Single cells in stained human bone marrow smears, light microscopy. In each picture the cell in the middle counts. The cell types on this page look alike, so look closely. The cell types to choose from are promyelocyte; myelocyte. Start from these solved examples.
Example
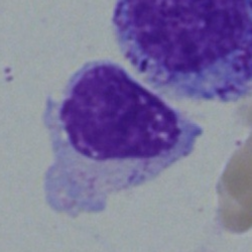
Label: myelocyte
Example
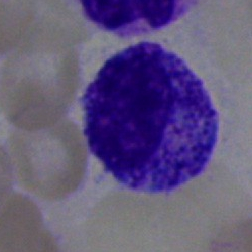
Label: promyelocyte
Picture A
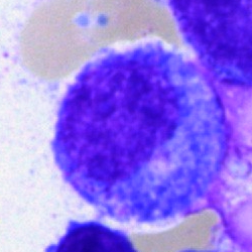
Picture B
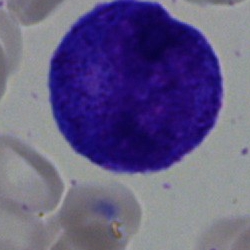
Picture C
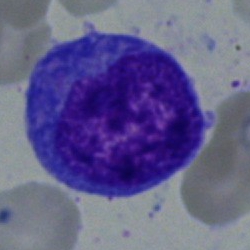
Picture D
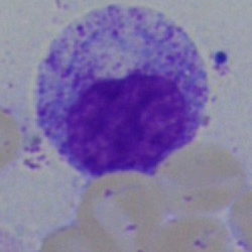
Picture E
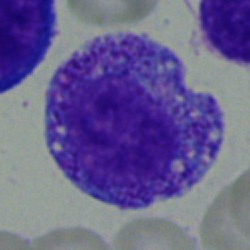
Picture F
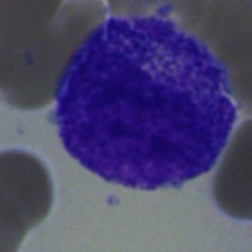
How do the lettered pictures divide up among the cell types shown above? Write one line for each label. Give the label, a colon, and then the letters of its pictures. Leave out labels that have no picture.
promyelocyte: A, B, C
myelocyte: D, E, F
